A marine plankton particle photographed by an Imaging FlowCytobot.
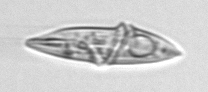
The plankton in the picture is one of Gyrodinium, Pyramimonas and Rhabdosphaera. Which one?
Gyrodinium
